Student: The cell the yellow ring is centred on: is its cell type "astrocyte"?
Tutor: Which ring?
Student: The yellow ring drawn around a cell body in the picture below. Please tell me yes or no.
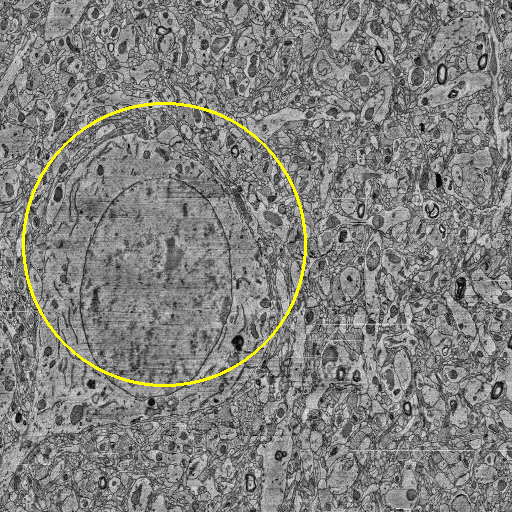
no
